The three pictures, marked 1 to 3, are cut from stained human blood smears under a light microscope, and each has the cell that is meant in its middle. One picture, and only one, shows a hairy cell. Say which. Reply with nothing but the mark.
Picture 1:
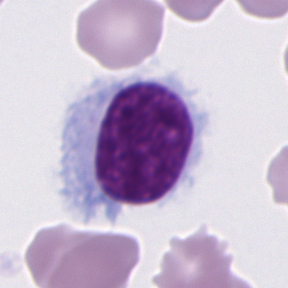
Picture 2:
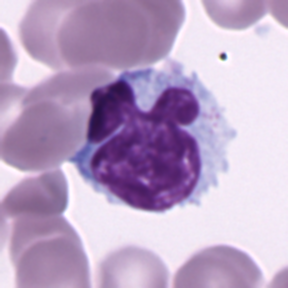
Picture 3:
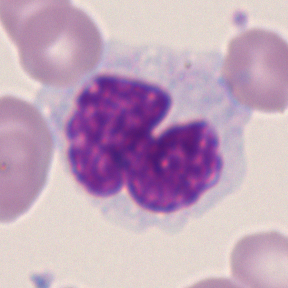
1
